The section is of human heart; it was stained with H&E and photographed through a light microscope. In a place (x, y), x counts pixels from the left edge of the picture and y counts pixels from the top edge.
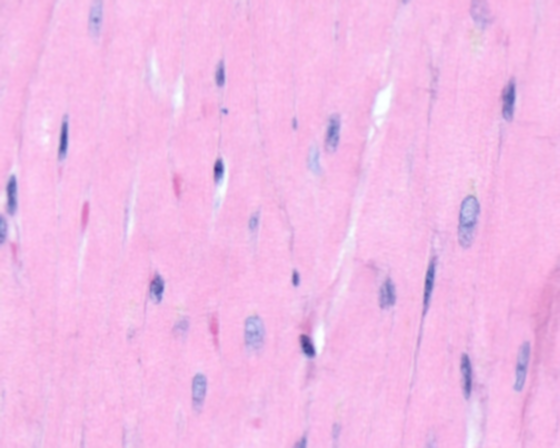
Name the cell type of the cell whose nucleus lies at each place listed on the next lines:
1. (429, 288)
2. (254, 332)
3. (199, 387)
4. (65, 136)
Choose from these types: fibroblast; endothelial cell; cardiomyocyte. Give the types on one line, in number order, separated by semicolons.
endothelial cell; cardiomyocyte; cardiomyocyte; endothelial cell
